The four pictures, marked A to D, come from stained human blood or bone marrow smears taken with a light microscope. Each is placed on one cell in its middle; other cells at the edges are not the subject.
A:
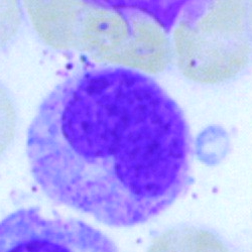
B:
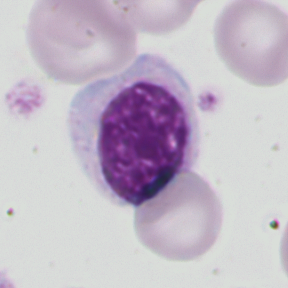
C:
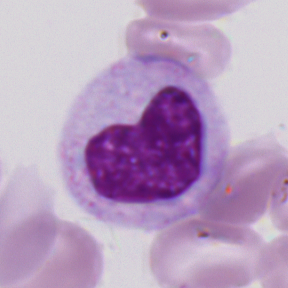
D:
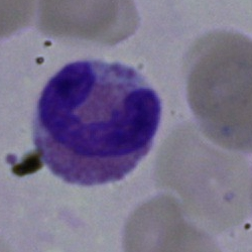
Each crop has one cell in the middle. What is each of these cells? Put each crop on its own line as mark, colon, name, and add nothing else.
A: metamyelocyte
B: metamyelocyte
C: metamyelocyte
D: eosinophil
